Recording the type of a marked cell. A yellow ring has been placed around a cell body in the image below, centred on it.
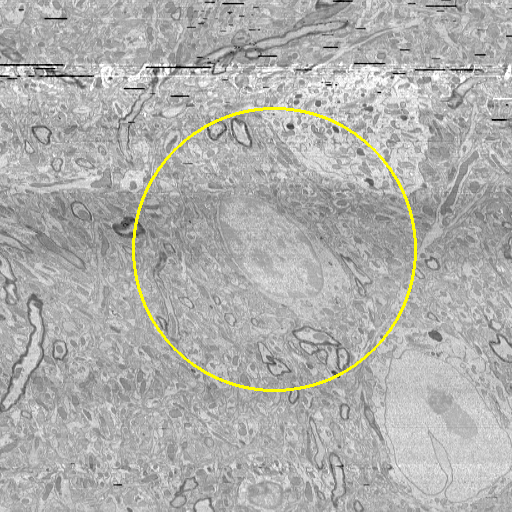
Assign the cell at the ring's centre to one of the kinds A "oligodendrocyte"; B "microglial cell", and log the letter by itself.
A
